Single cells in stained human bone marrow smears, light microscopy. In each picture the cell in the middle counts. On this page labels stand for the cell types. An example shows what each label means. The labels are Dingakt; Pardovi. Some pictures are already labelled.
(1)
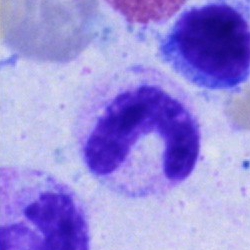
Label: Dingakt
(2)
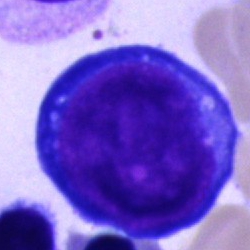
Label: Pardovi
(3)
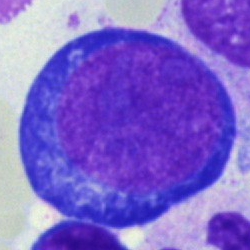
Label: Pardovi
